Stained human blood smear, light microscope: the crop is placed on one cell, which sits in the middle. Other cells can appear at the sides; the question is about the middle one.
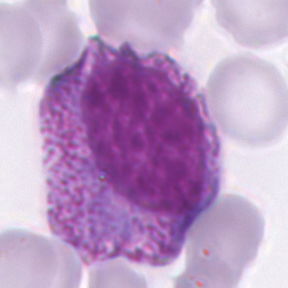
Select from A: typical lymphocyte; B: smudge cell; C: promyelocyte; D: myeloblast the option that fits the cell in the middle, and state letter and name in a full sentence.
The cell in the middle is a promyelocyte, and that makes option C correct.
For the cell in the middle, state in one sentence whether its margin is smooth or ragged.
The boundary of the cell runs irregularly, ragged in parts or drawn into projections.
